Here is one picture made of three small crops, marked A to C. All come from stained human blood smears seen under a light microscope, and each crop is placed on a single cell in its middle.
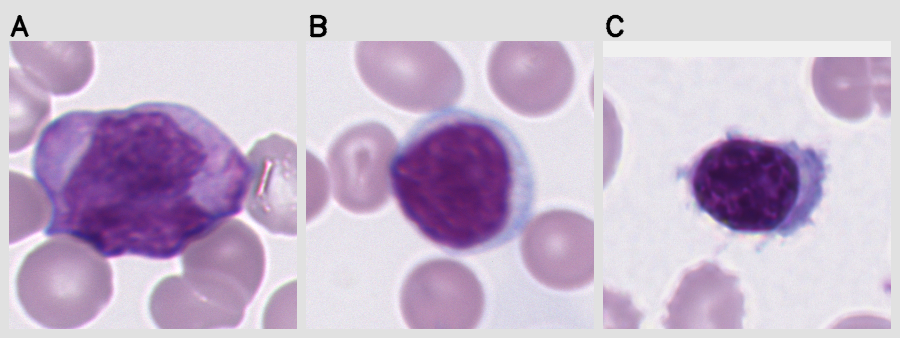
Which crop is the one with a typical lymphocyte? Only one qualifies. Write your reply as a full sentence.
Crop B matches the request, showing a typical lymphocyte.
